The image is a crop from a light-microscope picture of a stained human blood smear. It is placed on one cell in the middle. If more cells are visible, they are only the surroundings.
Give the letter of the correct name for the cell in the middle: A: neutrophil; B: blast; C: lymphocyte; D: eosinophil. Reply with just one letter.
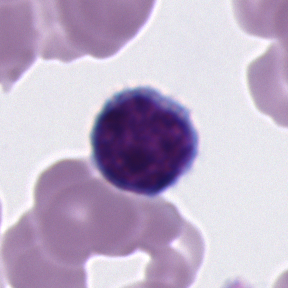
C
